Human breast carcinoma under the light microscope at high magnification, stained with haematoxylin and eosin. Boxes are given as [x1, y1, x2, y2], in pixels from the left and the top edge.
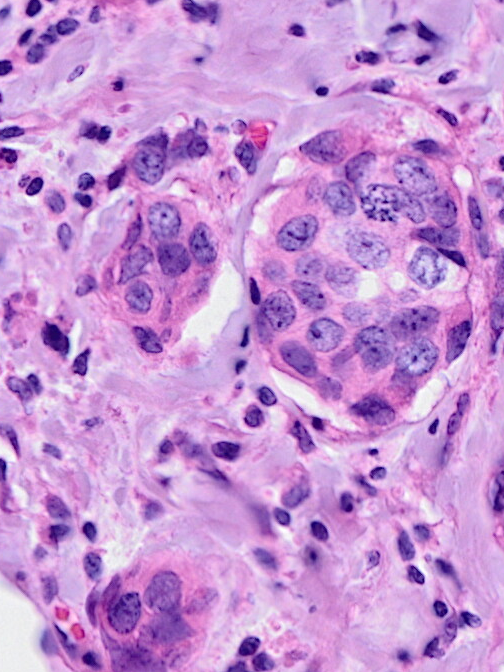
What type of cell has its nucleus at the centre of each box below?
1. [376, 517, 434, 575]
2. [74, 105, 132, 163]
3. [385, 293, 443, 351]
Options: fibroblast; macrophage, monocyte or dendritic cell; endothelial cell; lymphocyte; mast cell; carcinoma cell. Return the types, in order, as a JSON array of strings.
["lymphocyte", "lymphocyte", "carcinoma cell"]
